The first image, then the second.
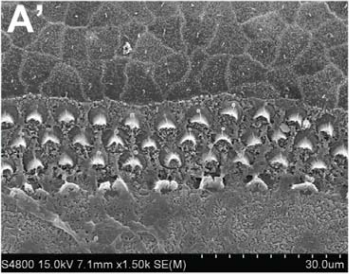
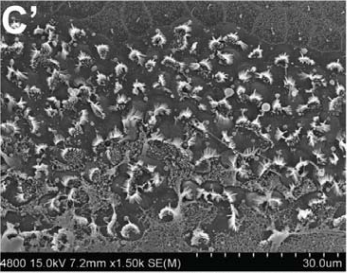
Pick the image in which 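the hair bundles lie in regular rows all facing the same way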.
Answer: The first image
